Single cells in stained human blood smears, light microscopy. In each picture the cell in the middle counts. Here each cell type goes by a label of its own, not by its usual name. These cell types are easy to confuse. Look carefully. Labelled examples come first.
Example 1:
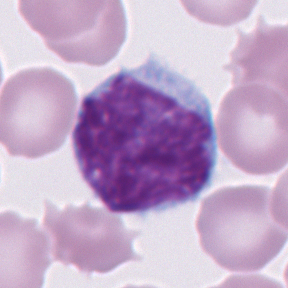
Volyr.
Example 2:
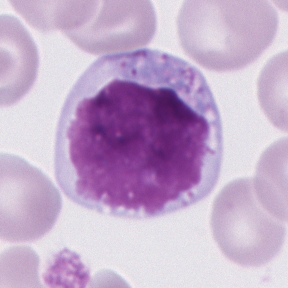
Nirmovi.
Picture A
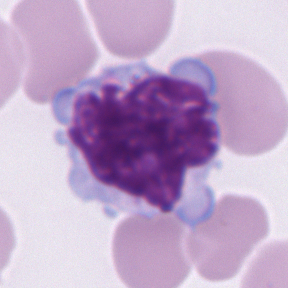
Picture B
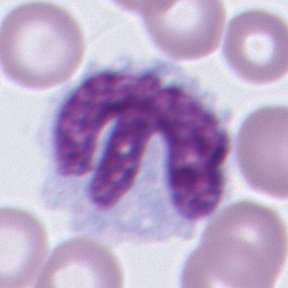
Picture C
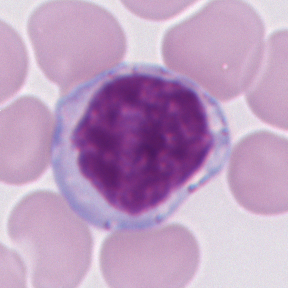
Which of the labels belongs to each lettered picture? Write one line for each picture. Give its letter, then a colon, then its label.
A: Volyr.
B: Volyr.
C: Nirmovi.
